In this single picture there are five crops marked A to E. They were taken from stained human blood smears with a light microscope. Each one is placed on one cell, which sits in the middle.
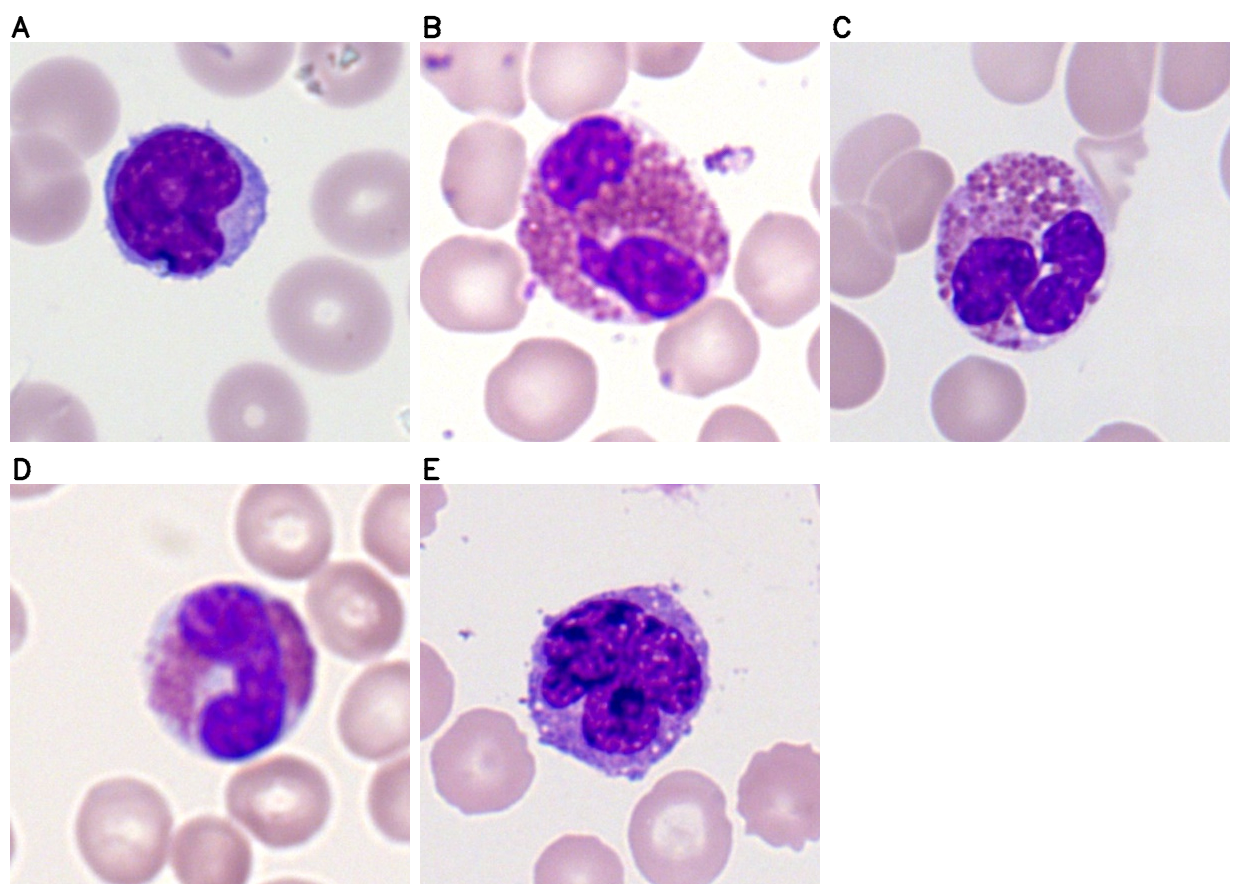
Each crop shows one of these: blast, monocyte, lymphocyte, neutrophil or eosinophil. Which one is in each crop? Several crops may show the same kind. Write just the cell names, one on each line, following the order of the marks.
lymphocyte
eosinophil
eosinophil
eosinophil
monocyte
